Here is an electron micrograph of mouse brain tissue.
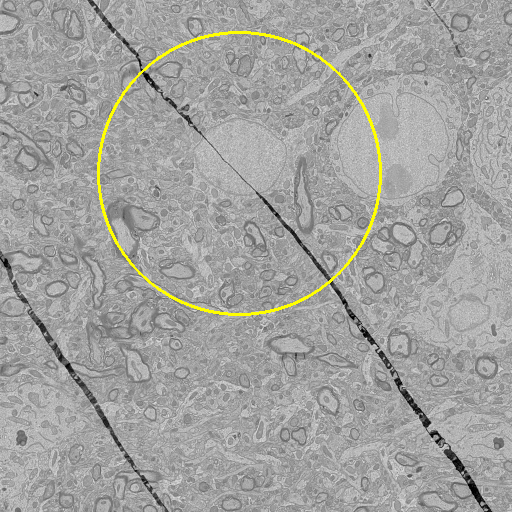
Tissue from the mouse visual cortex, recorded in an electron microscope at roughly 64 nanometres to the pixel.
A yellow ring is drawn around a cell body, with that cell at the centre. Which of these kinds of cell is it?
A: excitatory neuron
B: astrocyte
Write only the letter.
B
